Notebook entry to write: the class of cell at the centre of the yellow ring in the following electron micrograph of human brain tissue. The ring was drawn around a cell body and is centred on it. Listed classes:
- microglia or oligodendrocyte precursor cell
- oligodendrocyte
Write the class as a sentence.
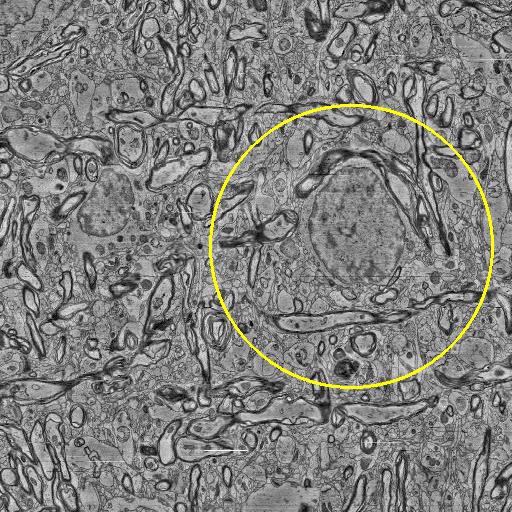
The yellow ring sits on an oligodendrocyte.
